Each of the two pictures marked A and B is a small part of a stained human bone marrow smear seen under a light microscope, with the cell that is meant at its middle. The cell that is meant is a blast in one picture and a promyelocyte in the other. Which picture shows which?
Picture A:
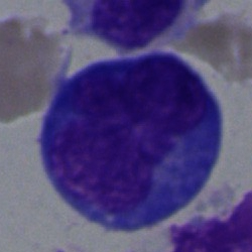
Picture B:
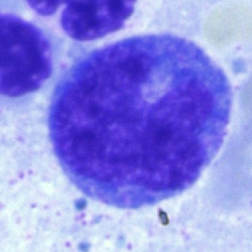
A: blast
B: promyelocyte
